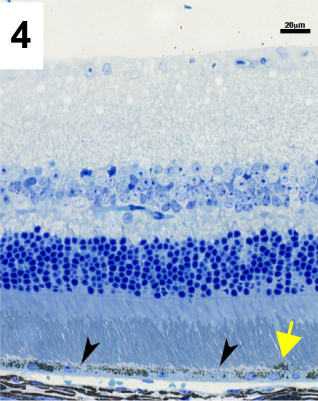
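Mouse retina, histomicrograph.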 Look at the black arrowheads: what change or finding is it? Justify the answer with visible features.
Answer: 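Hypopigmented. Where the arrowheads point, the bottom pigmented layer is paler and thinner in brown pigment than elsewhere.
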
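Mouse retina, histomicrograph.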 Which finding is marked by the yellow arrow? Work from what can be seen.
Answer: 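Clustered pigment. A small dark clump of pigment sits at the brown pigmented layer at the bottom.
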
